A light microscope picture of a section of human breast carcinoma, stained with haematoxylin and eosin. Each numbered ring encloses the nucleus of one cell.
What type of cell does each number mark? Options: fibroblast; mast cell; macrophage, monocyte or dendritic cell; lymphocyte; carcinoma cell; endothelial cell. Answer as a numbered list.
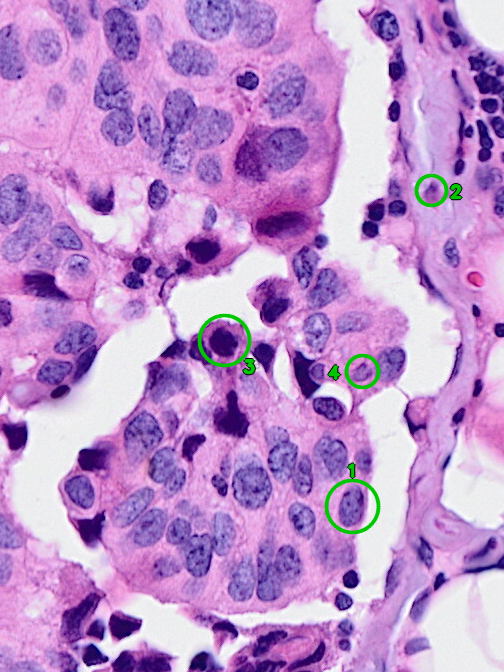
1. carcinoma cell
2. mast cell
3. carcinoma cell
4. carcinoma cell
